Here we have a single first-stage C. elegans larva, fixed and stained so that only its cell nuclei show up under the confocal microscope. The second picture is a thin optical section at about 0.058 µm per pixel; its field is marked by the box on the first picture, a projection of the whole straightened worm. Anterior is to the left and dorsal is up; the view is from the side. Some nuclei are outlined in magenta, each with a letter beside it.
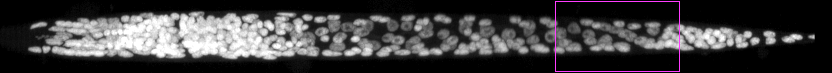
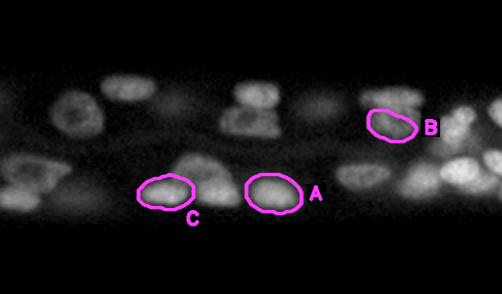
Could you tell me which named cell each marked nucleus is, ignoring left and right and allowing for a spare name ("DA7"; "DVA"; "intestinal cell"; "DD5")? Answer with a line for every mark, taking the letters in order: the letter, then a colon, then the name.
A: DA7
B: intestinal cell
C: DD5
